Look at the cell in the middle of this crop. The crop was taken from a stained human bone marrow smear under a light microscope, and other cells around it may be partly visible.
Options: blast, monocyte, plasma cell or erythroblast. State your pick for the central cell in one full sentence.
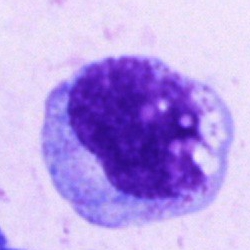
At the middle of the frame sits a monocyte.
